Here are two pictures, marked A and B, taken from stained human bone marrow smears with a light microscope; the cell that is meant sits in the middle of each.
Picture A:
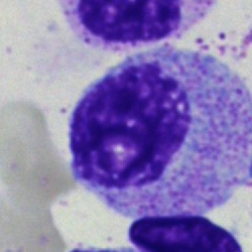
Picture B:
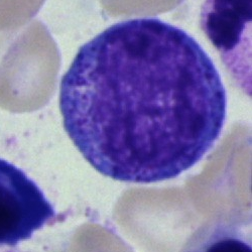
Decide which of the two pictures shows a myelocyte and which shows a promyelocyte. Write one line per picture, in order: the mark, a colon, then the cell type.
A: myelocyte
B: promyelocyte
